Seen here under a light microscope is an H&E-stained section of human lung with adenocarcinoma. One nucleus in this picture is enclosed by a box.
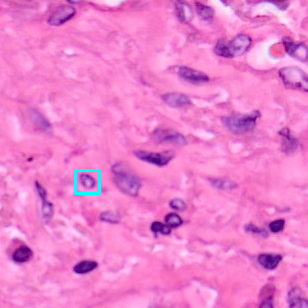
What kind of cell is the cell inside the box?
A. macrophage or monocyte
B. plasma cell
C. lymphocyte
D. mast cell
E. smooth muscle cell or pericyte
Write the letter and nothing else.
D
